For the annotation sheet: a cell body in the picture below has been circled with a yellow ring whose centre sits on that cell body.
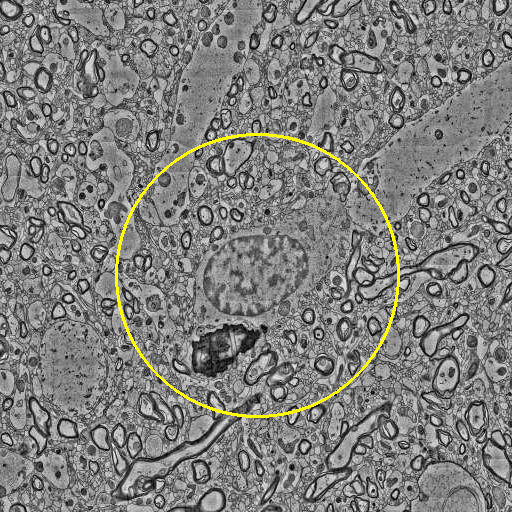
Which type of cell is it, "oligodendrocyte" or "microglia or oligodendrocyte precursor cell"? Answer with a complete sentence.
The circled cell is an oligodendrocyte.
